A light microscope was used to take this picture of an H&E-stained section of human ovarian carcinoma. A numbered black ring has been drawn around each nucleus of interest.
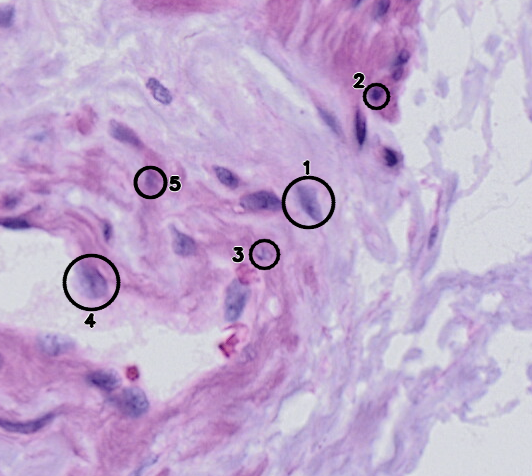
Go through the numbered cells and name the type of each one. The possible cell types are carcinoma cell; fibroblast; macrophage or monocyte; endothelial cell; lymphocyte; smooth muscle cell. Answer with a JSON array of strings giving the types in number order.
["fibroblast", "smooth muscle cell", "endothelial cell", "endothelial cell", "smooth muscle cell"]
